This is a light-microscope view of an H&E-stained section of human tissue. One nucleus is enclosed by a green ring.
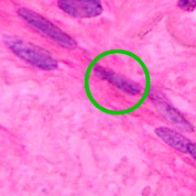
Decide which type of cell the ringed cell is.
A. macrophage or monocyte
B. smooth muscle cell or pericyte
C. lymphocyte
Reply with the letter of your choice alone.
B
